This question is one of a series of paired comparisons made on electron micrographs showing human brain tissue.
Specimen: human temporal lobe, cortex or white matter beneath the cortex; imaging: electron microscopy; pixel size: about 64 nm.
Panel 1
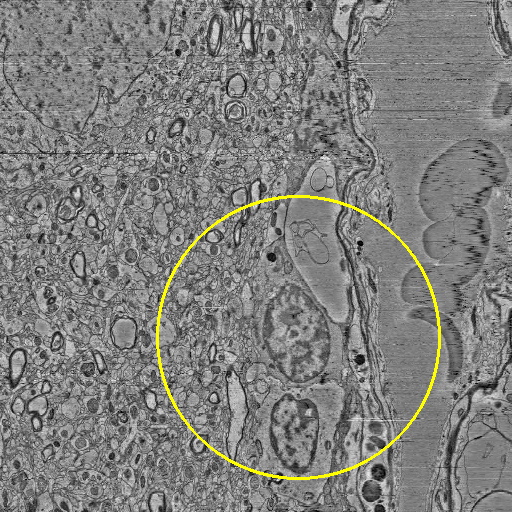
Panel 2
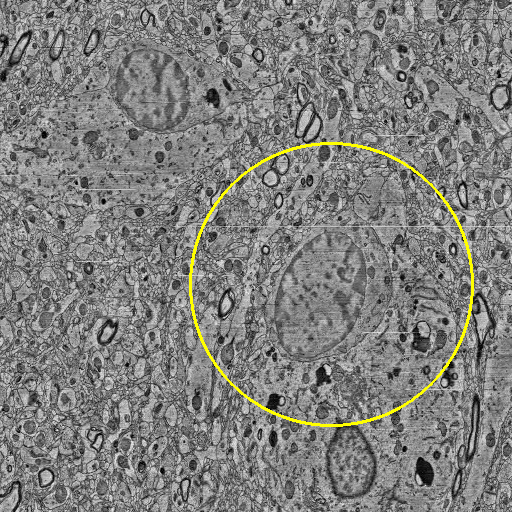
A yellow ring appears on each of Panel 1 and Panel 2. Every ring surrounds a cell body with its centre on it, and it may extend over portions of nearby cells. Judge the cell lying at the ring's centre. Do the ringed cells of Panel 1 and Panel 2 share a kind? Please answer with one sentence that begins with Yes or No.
Yes, the ring-centre cell in Panel 1 and the one in Panel 2 are of one kind.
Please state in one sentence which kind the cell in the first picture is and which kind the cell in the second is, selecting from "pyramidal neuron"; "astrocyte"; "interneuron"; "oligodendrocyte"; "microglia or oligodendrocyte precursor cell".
Each of the two rings surrounds an oligodendrocyte.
